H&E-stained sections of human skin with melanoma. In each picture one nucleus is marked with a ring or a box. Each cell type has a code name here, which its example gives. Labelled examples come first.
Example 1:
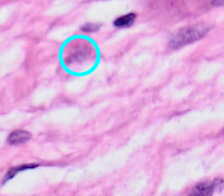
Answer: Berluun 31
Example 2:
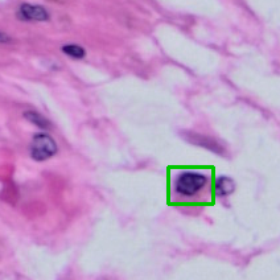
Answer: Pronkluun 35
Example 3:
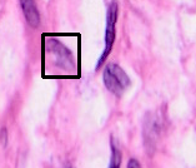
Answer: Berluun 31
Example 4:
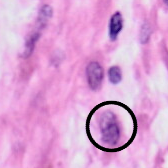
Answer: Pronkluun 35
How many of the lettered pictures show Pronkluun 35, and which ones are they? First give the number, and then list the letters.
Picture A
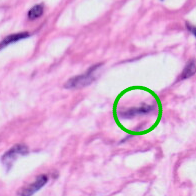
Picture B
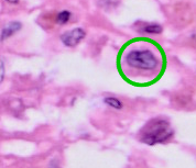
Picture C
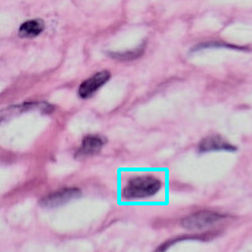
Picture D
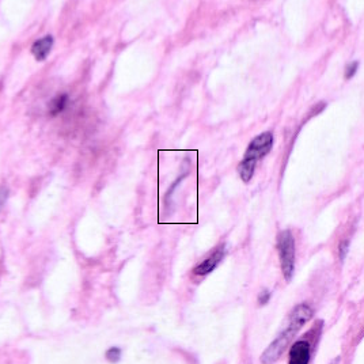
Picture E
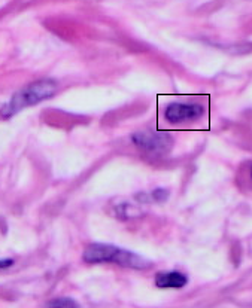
3: B, C, E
